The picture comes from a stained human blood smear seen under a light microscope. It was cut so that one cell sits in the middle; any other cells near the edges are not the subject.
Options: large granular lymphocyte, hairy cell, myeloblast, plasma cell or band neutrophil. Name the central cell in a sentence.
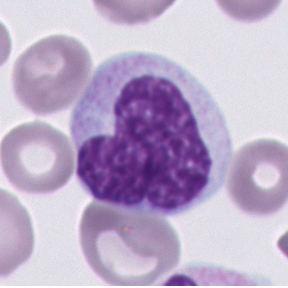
At the middle of the frame sits a band neutrophil.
